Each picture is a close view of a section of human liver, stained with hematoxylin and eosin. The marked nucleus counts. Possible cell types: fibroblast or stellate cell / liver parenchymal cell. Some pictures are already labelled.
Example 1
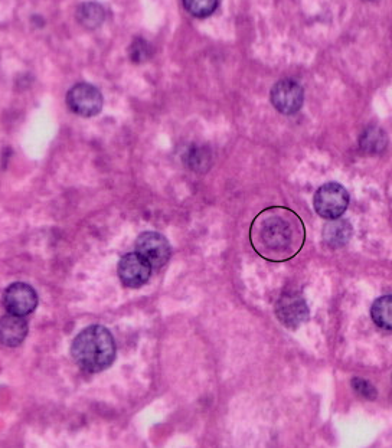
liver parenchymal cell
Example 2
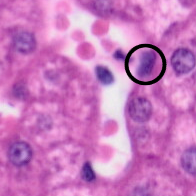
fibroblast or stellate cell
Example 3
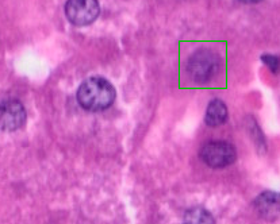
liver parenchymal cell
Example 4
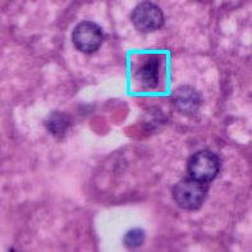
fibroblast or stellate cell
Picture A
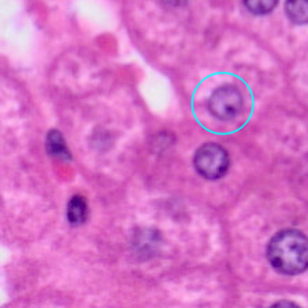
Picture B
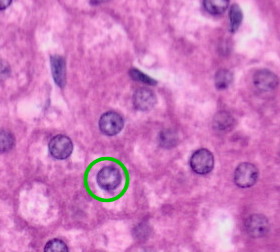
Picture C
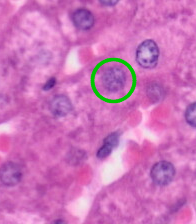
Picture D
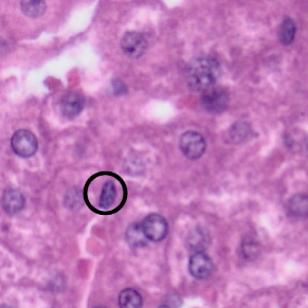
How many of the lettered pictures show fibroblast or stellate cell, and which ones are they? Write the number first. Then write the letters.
Count: 1 (D)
